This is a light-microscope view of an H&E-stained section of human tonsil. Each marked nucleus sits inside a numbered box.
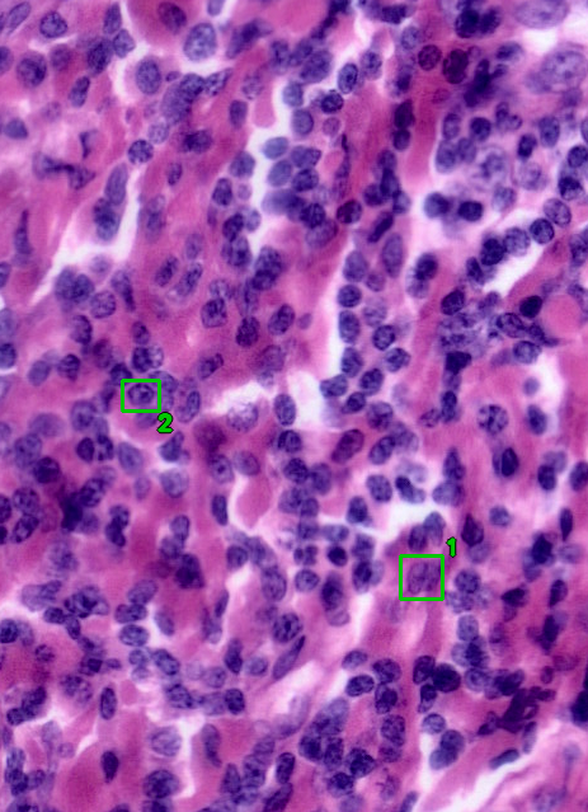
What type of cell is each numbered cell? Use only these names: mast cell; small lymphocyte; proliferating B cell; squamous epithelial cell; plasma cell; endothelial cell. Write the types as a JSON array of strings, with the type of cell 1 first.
["endothelial cell", "plasma cell"]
